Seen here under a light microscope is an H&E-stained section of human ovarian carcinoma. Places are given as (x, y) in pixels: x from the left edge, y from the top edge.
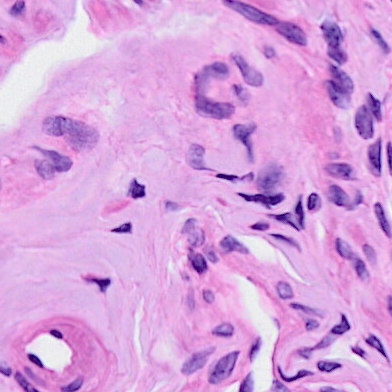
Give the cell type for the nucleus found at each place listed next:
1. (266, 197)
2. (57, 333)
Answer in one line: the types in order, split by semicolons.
fibroblast; endothelial cell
